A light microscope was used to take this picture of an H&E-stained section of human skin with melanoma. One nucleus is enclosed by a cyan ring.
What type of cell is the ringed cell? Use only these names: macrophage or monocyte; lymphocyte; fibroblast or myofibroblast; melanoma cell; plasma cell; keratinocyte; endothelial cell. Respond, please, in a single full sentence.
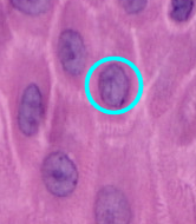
Cell type answer for this item: the ringed cell is a keratinocyte.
